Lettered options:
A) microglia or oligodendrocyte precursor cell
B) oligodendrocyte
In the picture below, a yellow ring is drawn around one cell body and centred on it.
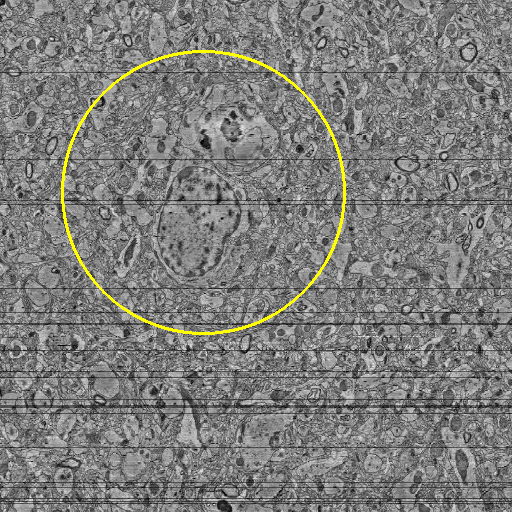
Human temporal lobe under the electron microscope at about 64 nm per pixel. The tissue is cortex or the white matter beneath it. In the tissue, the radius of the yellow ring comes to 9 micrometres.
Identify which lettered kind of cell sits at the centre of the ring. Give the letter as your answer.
A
